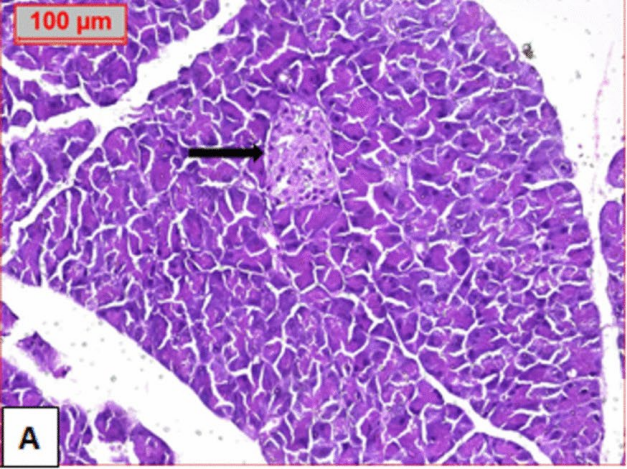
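This is pancreatic tissue made up mostly of exocrine acini, whose cells stain deep purple and are packed closely into lobules separated by thin clear clefts. Within the acinar tissue lies a small, rounded, paler cluster of cells forming an islet of Langerhans. The islet cells are lighter and less granular than the surrounding acinar cells and are set apart from them as a distinct pale island. The overall architecture is orderly, with regular lobules and no obvious fibrous bands.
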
